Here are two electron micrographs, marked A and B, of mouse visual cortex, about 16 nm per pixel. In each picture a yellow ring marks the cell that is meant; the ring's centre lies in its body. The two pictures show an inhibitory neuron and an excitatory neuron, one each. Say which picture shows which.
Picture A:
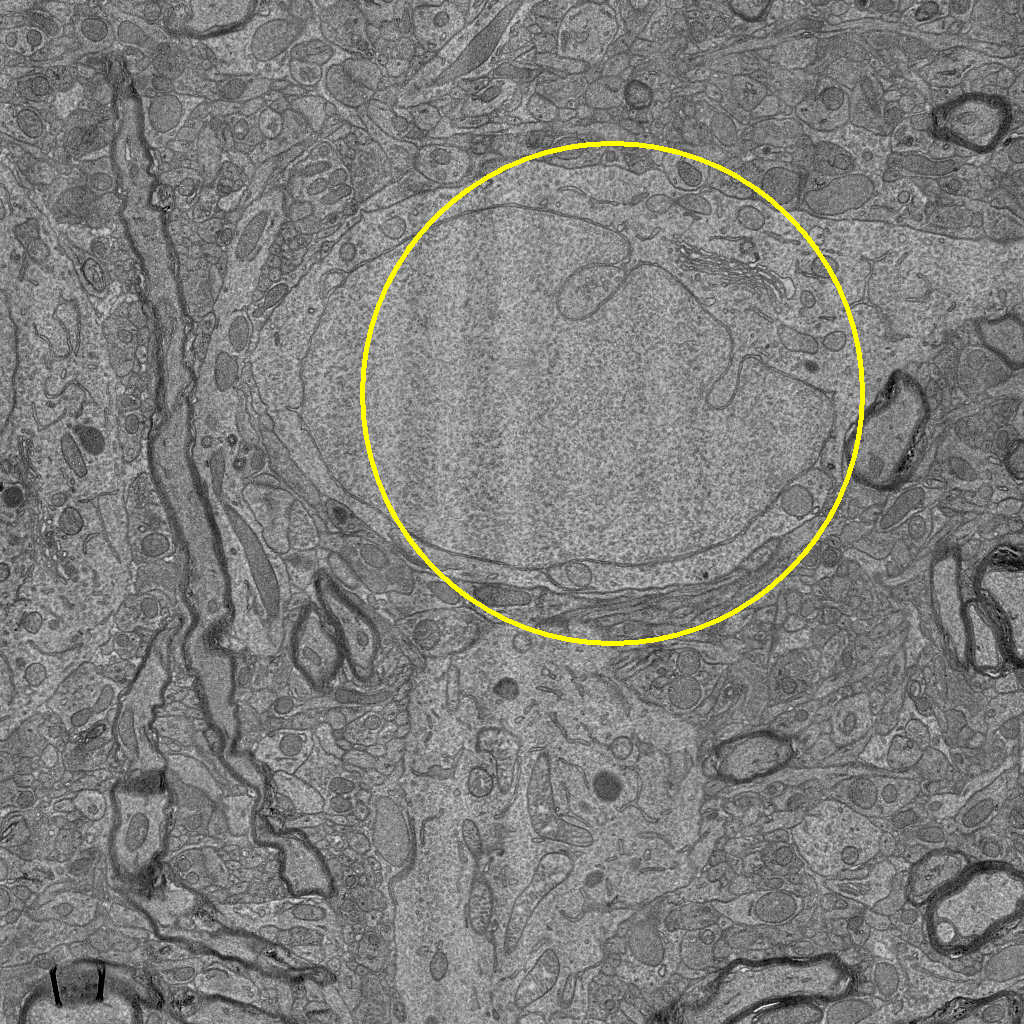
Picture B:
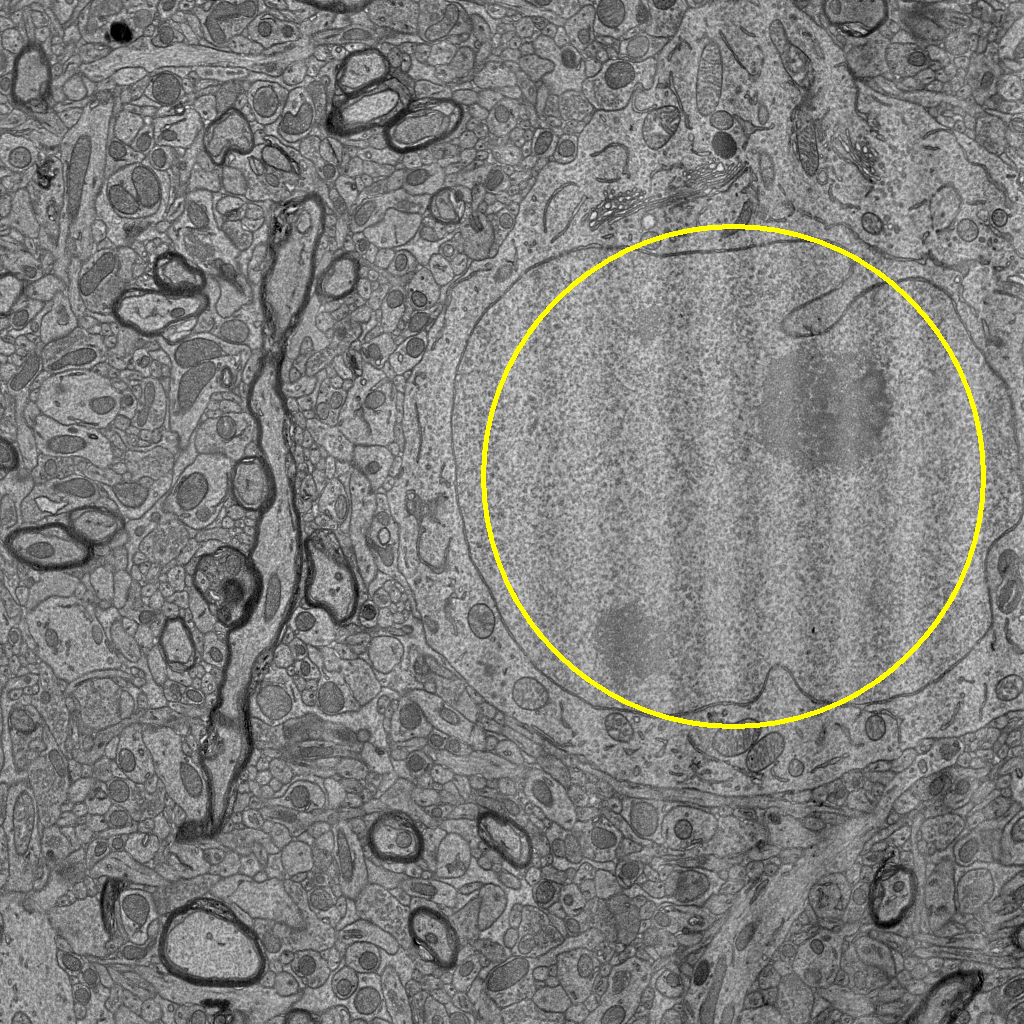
In picture A the cell is an inhibitory neuron; in picture B, an excitatory neuron.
